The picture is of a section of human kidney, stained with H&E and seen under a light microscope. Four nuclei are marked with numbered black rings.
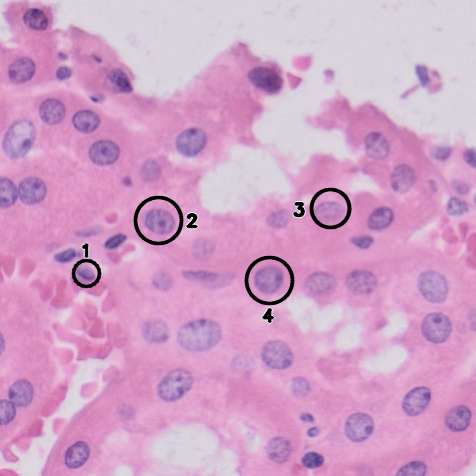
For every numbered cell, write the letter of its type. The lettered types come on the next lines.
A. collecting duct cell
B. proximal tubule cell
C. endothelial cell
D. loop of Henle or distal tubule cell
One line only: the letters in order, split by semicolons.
C; B; B; B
